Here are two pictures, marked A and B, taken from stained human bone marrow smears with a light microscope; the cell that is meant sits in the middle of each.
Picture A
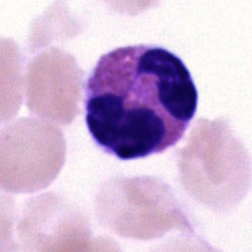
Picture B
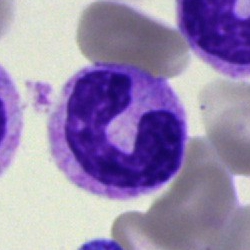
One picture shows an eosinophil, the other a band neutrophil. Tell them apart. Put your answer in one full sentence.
It is picture A that shows an eosinophil, and picture B that shows a band neutrophil.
